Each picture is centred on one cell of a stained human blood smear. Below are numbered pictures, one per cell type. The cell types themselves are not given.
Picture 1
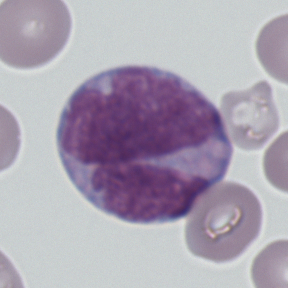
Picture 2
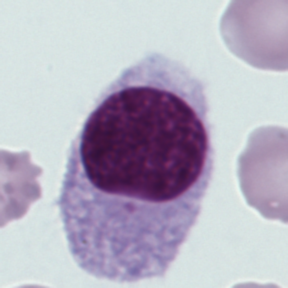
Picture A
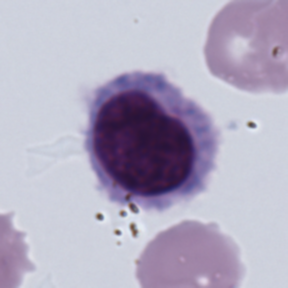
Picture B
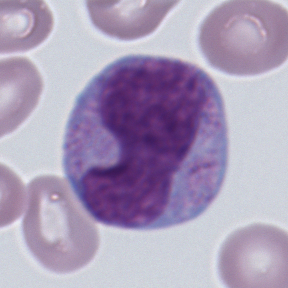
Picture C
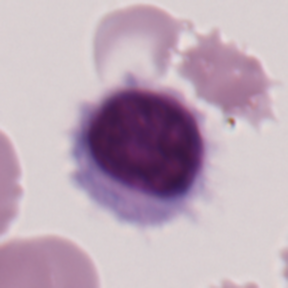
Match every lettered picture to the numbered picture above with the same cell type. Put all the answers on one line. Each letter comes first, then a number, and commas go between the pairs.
A 2, B 1, C 2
